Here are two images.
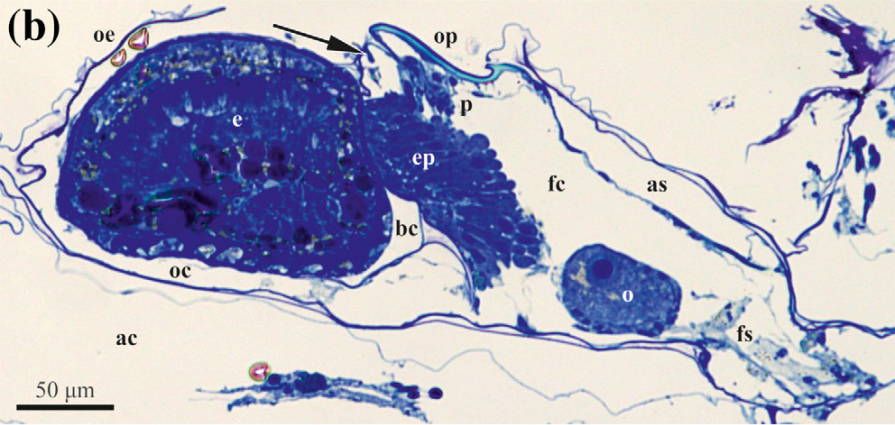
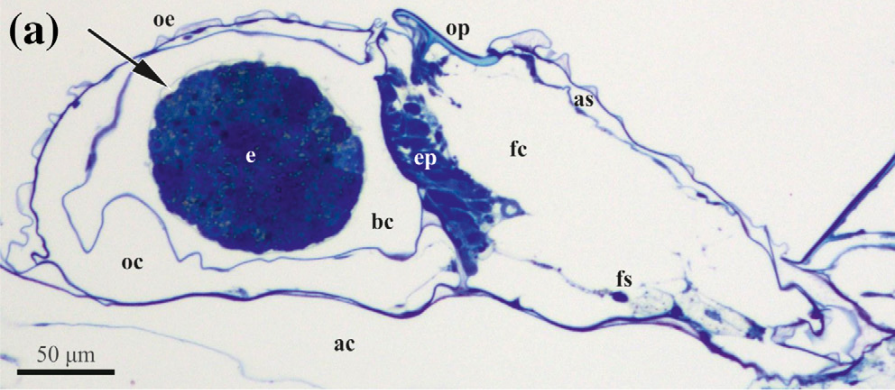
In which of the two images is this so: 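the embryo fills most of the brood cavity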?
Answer: the first image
